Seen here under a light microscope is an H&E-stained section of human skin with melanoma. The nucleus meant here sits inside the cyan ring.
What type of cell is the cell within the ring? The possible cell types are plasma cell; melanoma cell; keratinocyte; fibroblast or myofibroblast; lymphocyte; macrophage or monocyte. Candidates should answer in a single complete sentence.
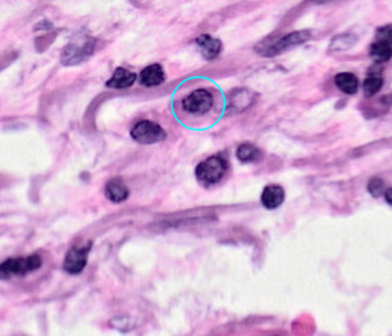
To be brief about it, the cell within the ring is a plasma cell.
